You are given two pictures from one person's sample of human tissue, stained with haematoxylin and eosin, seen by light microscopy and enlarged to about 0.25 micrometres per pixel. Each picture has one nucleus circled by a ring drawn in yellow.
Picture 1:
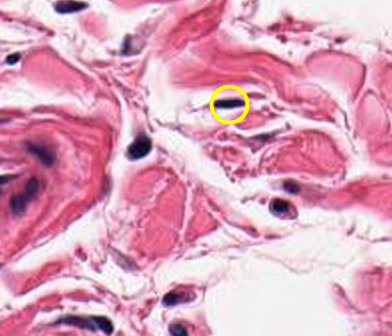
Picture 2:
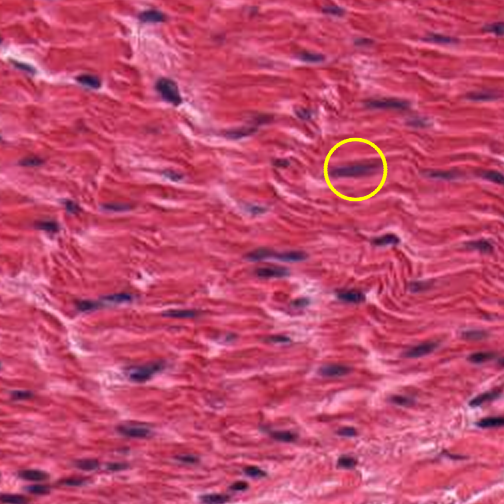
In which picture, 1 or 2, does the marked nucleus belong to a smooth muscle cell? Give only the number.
2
